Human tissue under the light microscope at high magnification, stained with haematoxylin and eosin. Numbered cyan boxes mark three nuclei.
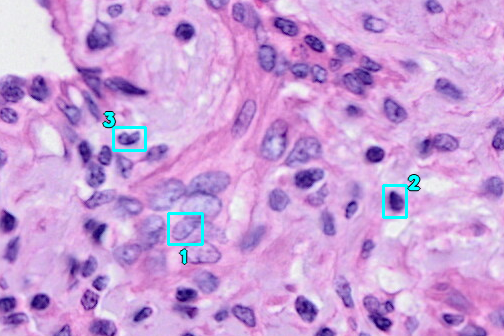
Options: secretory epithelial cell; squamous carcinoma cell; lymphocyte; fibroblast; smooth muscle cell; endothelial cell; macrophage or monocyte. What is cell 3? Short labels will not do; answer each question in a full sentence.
To a lymphocyte belongs the nucleus marked 3.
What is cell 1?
The cell that bears the number 1 is an endothelial cell.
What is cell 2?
The cell that carries the label 2 is a lymphocyte.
